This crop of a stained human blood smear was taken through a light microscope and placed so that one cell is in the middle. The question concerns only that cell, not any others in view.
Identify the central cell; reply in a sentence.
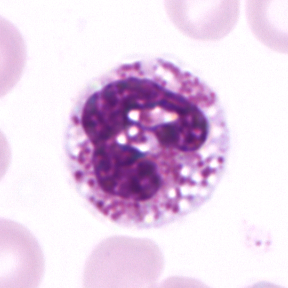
Centred in the crop is an eosinophil.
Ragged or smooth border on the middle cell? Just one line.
Its periphery is smooth, and no projections arise from it.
